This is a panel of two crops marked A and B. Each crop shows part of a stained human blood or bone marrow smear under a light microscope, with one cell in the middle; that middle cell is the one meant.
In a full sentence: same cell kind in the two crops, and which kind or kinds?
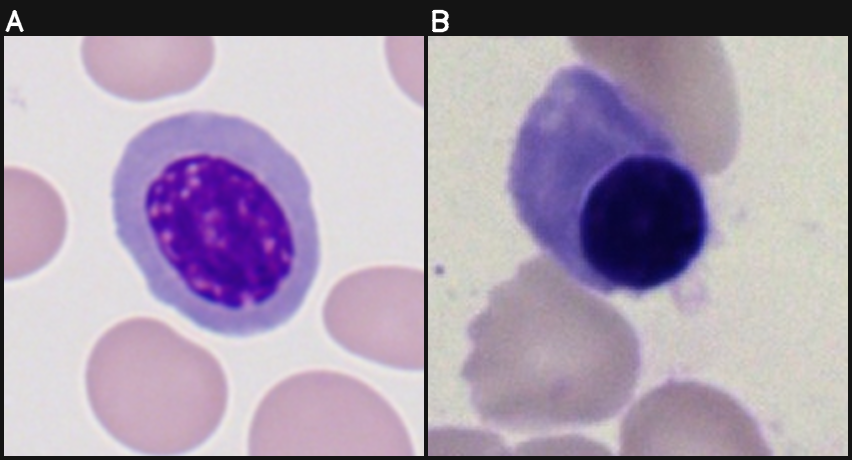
Yes, both crops in this set show erythroblasts.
